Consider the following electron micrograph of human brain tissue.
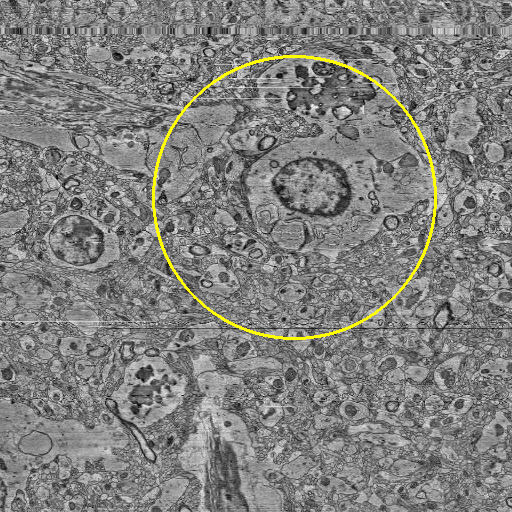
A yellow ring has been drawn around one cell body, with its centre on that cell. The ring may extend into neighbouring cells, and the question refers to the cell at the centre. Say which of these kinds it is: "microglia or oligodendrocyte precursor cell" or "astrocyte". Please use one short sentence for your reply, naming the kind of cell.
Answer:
The centre of the ring falls on an astrocyte.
